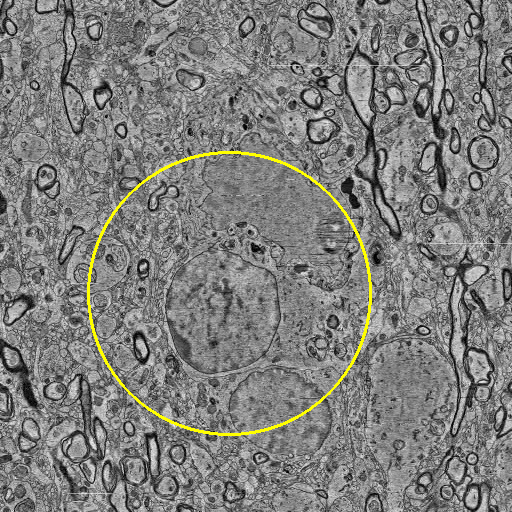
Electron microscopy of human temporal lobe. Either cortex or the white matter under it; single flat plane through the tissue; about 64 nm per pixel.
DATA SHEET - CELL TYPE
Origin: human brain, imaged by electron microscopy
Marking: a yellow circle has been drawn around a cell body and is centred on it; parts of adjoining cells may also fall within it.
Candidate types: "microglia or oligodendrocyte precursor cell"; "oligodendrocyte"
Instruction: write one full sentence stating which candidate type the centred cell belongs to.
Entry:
The cell body at the centre of the yellow ring in this micrograph belongs to a microglial cell or oligodendrocyte precursor cell.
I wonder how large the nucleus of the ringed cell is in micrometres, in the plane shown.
The nucleus comes to roughly 8 by 7 micrometres in this plane.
